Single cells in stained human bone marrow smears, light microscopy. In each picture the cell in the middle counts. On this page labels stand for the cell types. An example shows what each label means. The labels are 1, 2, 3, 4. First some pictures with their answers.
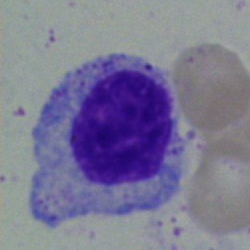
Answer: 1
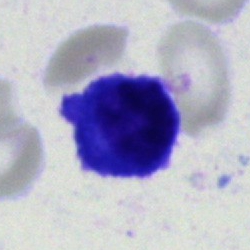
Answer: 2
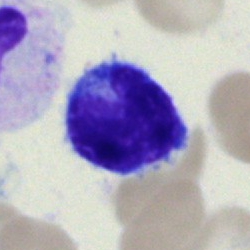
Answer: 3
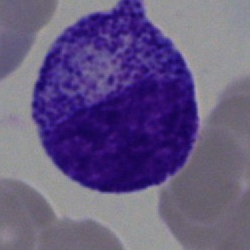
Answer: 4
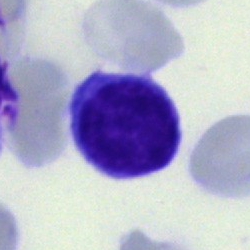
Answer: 3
